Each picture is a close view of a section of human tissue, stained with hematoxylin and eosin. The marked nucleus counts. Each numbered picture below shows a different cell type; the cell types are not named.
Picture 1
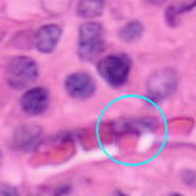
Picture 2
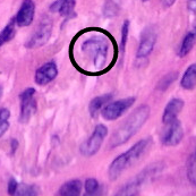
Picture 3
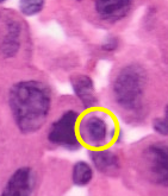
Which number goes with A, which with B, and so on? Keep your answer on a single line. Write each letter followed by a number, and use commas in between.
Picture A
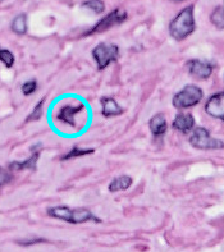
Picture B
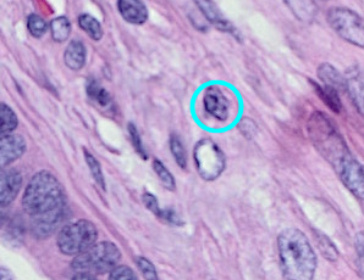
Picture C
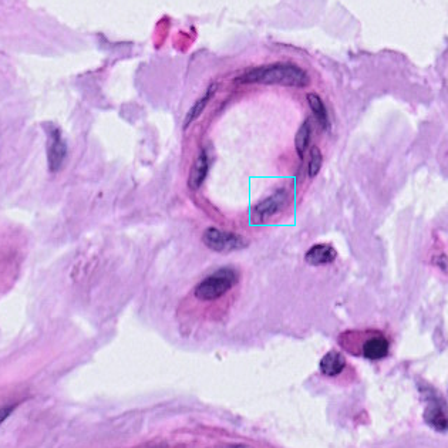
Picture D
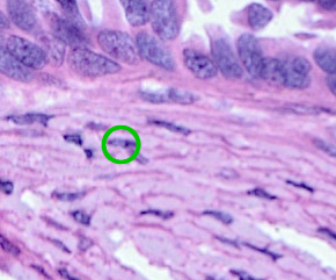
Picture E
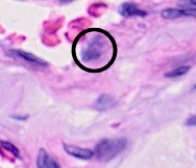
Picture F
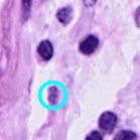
A 2, B 3, C 1, D 2, E 1, F 3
